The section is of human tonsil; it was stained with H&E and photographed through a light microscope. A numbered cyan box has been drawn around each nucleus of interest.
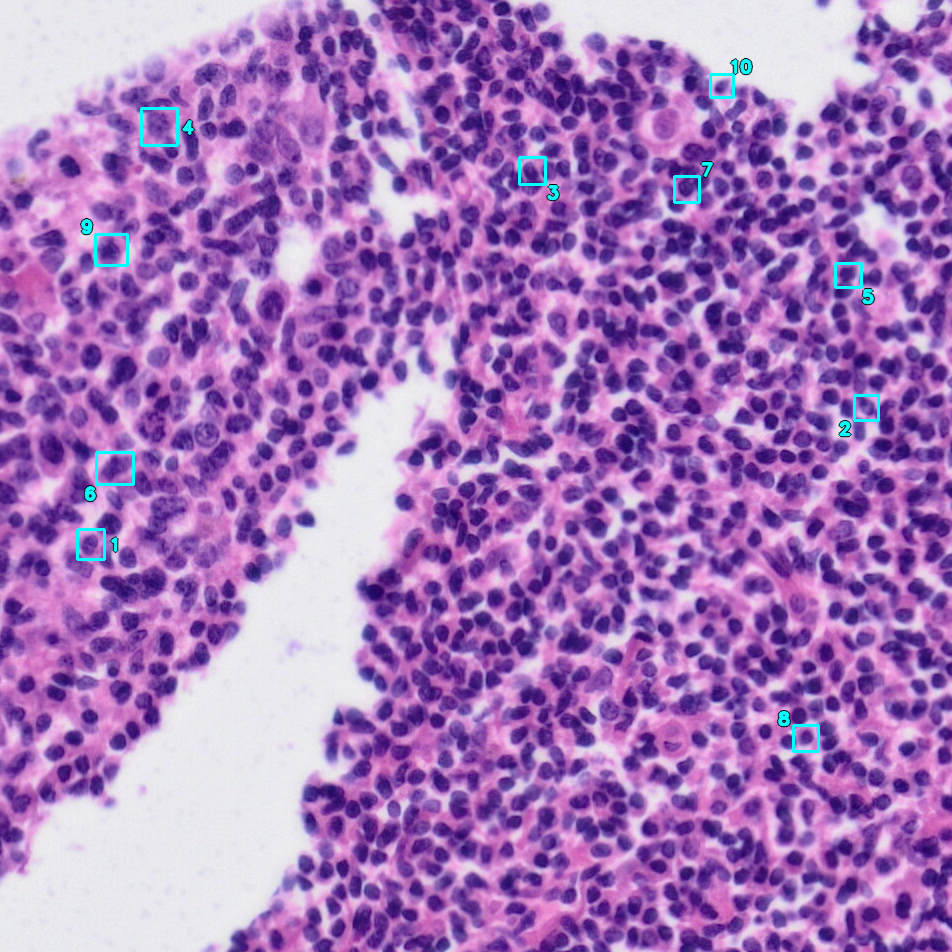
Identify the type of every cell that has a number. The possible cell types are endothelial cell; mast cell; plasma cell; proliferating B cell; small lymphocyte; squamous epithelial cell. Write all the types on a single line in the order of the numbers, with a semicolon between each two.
proliferating B cell; small lymphocyte; small lymphocyte; proliferating B cell; small lymphocyte; proliferating B cell; small lymphocyte; small lymphocyte; proliferating B cell; small lymphocyte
